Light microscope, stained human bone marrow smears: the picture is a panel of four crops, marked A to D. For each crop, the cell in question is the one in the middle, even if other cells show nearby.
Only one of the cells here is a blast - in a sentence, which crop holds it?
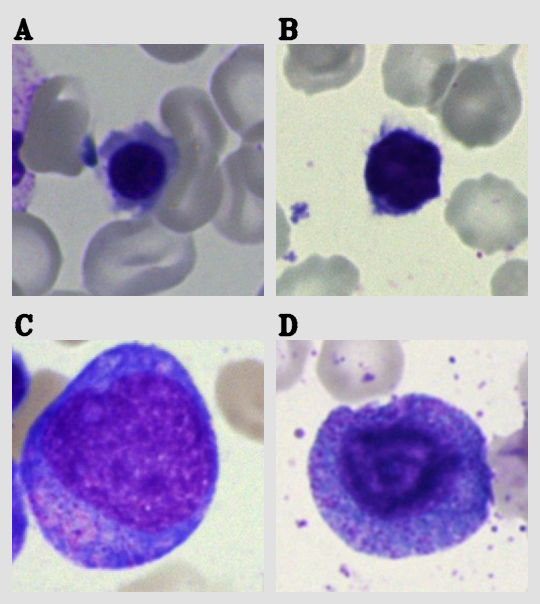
Crop C is the crop featuring a blast at its center.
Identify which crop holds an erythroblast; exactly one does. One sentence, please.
Crop A matches the request, showing an erythroblast.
